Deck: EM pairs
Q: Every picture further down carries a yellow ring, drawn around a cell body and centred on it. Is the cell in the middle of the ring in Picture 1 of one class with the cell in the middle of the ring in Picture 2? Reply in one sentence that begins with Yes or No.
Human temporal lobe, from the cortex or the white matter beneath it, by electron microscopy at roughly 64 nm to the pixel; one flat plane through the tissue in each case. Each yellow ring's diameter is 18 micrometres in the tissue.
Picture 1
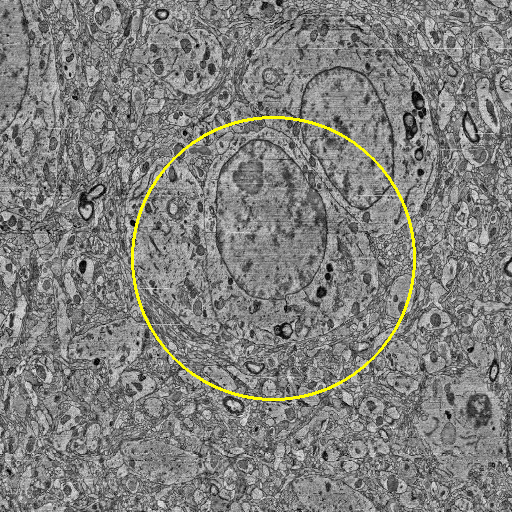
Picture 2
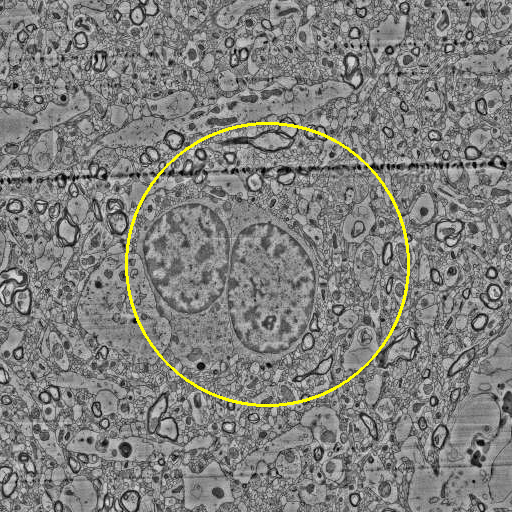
No, the cell centred in the ring of Picture 1 and the one in Picture 2 belong to separate classes.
